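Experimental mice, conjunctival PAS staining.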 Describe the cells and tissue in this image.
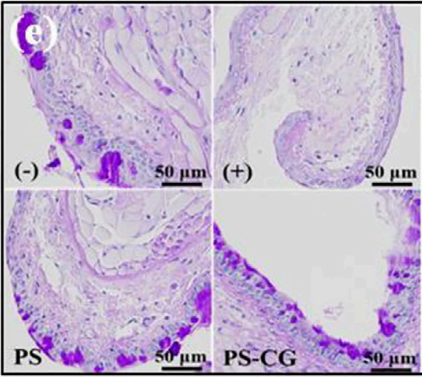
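Goblet cells appear as rounded to oval cells packed with bright magenta mucin, set within the surface epithelium and bulging toward the lumen, often in groups along the folded lining. The epithelium itself is a few cells thick with small purple nuclei; beneath it lies loose, pale connective tissue with scattered nuclei. In one image the epithelial lining is nearly free of magenta cells and appears thin, while in others magenta-filled cells are numerous and form an almost continuous row along the fold.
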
